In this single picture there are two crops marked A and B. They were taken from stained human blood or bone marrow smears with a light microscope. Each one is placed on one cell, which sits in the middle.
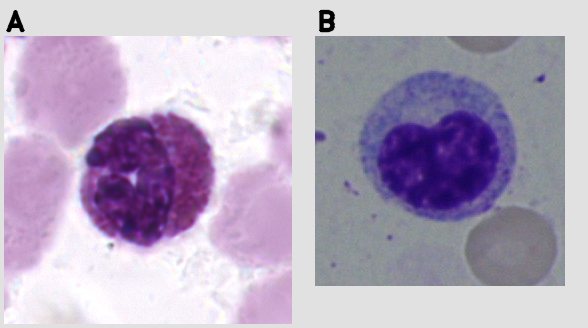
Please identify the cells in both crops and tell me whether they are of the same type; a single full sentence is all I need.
No; crop A is an eosinophil, while crop B is a metamyelocyte.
